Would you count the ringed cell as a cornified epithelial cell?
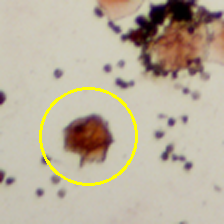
Yes, I would count it as a cornified epithelial cell.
